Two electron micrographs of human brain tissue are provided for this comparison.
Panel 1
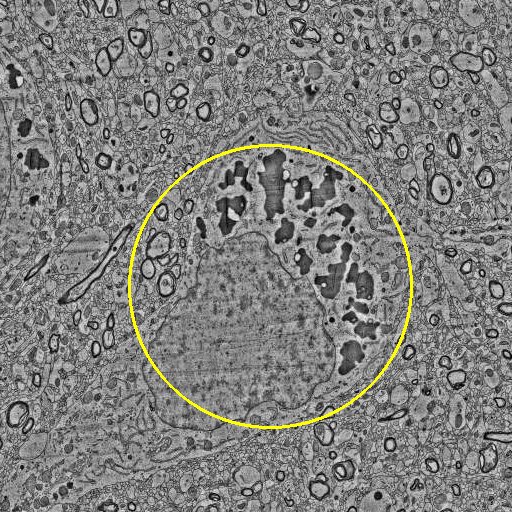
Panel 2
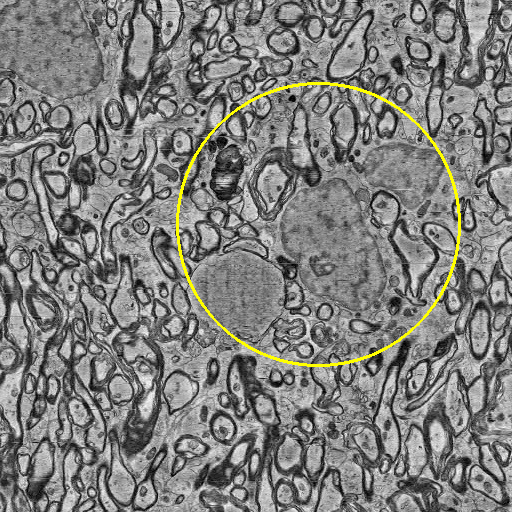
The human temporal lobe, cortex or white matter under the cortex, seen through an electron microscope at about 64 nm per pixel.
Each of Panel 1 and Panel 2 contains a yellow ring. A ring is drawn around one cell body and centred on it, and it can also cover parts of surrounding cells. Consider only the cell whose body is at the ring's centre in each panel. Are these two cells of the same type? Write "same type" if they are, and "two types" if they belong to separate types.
two types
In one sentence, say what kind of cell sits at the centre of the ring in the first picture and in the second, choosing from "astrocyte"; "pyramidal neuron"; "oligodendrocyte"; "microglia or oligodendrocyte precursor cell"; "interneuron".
The first picture's ringed cell is an interneuron, while the second picture's is an oligodendrocyte.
